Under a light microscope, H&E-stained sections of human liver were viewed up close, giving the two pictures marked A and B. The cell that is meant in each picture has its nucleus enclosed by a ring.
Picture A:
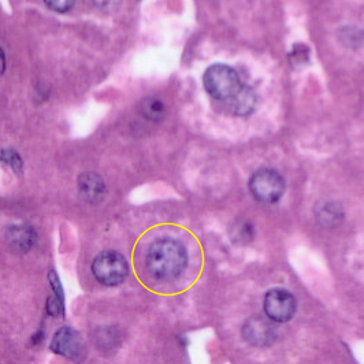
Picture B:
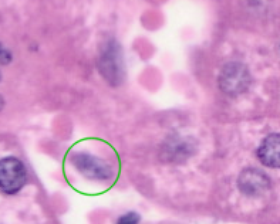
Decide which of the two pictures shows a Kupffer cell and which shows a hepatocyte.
A: hepatocyte
B: Kupffer cell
